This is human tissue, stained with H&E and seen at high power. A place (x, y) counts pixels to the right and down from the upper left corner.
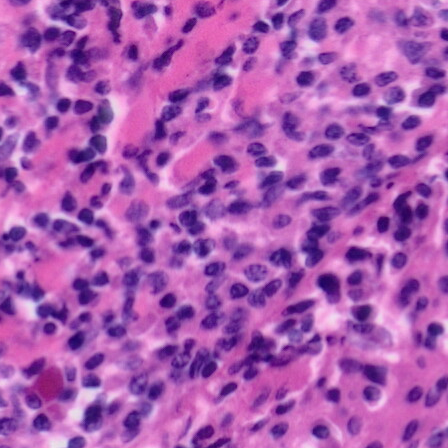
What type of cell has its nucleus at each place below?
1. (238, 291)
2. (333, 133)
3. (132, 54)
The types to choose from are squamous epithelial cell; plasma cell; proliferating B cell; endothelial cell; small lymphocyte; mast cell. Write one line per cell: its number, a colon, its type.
1: plasma cell
2: plasma cell
3: endothelial cell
